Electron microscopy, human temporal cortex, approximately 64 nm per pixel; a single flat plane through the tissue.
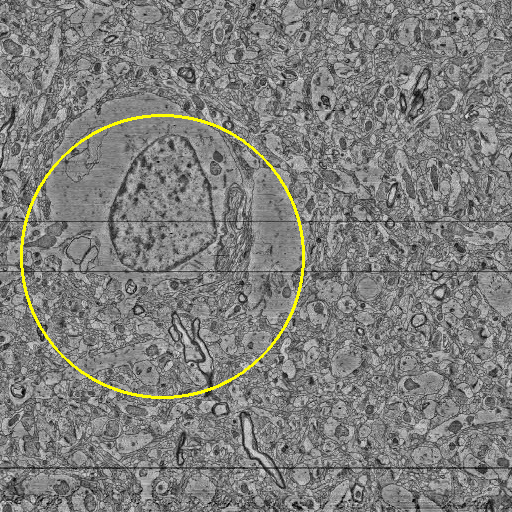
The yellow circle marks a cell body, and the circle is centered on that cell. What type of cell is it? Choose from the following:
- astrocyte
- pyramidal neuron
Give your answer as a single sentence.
This cell body belongs to an astrocyte.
